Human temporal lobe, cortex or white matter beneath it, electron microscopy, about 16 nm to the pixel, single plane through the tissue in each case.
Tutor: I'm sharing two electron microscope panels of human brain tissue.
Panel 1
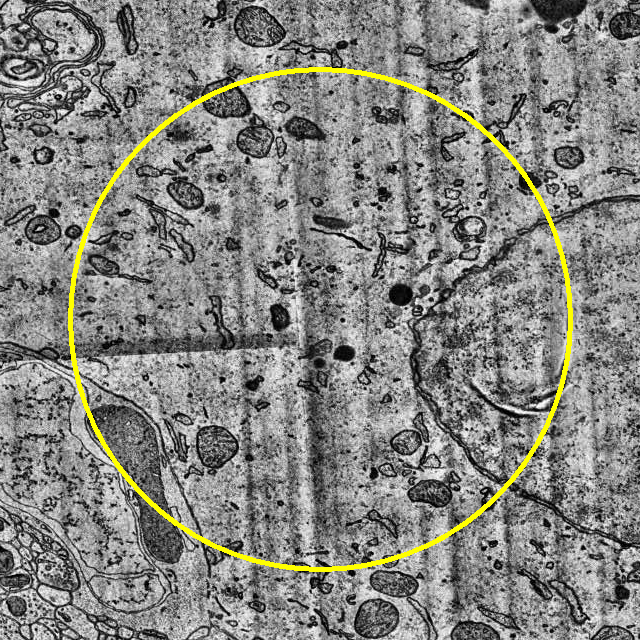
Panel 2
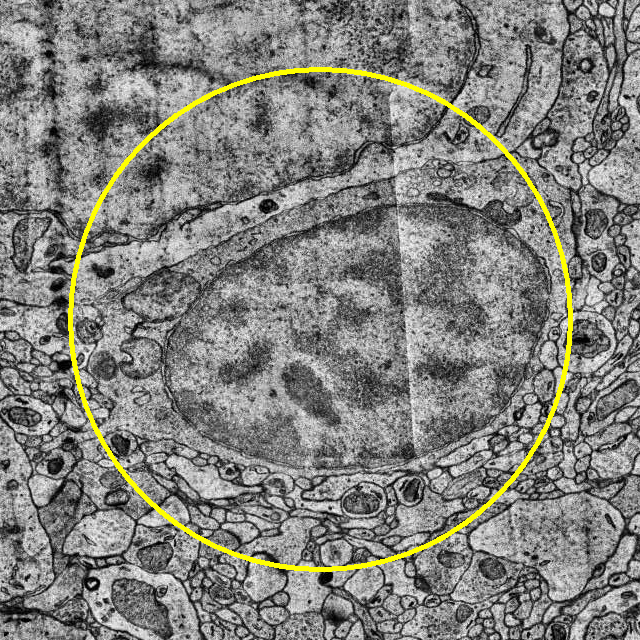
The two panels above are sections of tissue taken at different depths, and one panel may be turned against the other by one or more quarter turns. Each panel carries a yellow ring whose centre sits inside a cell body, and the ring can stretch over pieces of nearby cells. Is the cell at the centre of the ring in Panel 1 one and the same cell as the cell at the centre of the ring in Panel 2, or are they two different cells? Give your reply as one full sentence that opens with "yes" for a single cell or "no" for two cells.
No, these two rings belong to two distinct cells.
